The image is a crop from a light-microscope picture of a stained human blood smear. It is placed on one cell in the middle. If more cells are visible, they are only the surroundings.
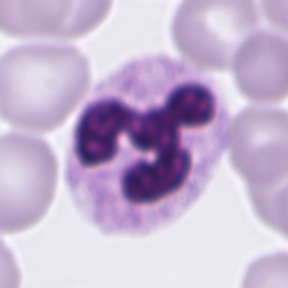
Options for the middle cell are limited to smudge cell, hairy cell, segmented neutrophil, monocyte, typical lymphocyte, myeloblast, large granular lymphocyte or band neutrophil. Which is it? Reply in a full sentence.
Framed in the middle of the crop is a segmented neutrophil.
